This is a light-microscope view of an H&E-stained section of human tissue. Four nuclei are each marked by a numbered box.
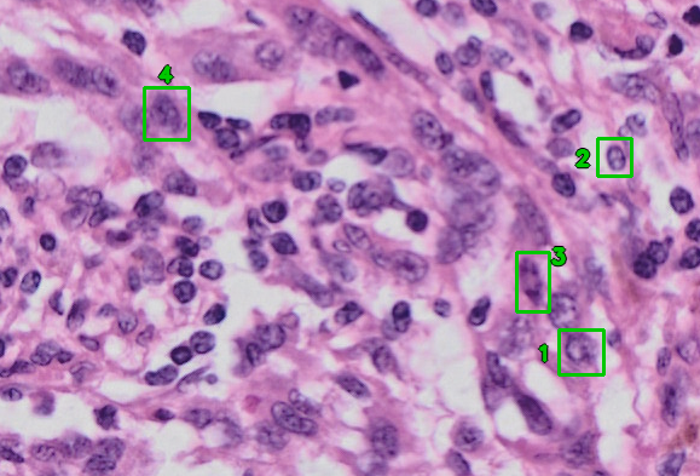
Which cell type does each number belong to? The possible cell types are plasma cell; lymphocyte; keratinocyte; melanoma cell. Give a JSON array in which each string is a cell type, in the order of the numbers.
["melanoma cell", "lymphocyte", "melanoma cell", "melanoma cell"]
